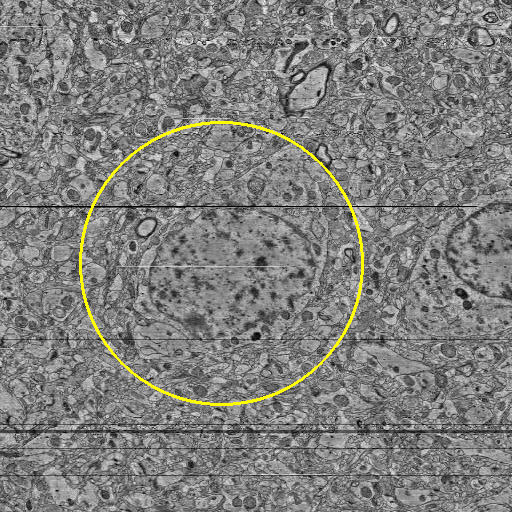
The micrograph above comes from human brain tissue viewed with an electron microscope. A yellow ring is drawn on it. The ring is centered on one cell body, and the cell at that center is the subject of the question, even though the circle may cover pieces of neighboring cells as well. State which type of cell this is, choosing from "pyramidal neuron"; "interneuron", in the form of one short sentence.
The cell the ring is centered on is an interneuron.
